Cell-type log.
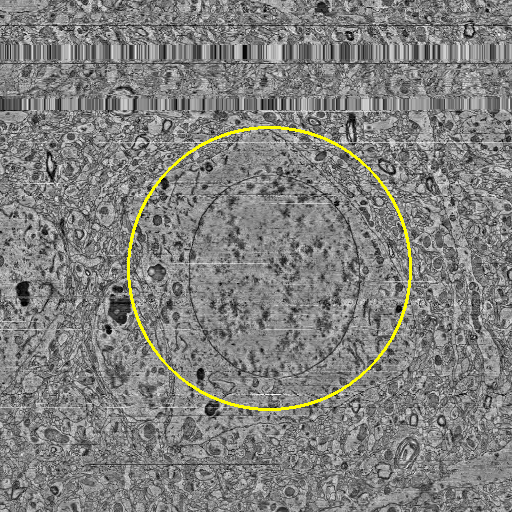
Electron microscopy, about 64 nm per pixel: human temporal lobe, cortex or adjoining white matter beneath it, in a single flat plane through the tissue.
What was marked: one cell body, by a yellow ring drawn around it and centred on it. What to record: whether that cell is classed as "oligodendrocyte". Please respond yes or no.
No, the cell belongs to another class.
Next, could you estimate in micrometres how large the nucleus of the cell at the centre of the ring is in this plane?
In this plane, approximately 13 by 11 micrometers.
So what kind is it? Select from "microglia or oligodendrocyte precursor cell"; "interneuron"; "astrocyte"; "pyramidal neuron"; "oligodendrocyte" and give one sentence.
Instead, the ringed cell here is a pyramidal neuron.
